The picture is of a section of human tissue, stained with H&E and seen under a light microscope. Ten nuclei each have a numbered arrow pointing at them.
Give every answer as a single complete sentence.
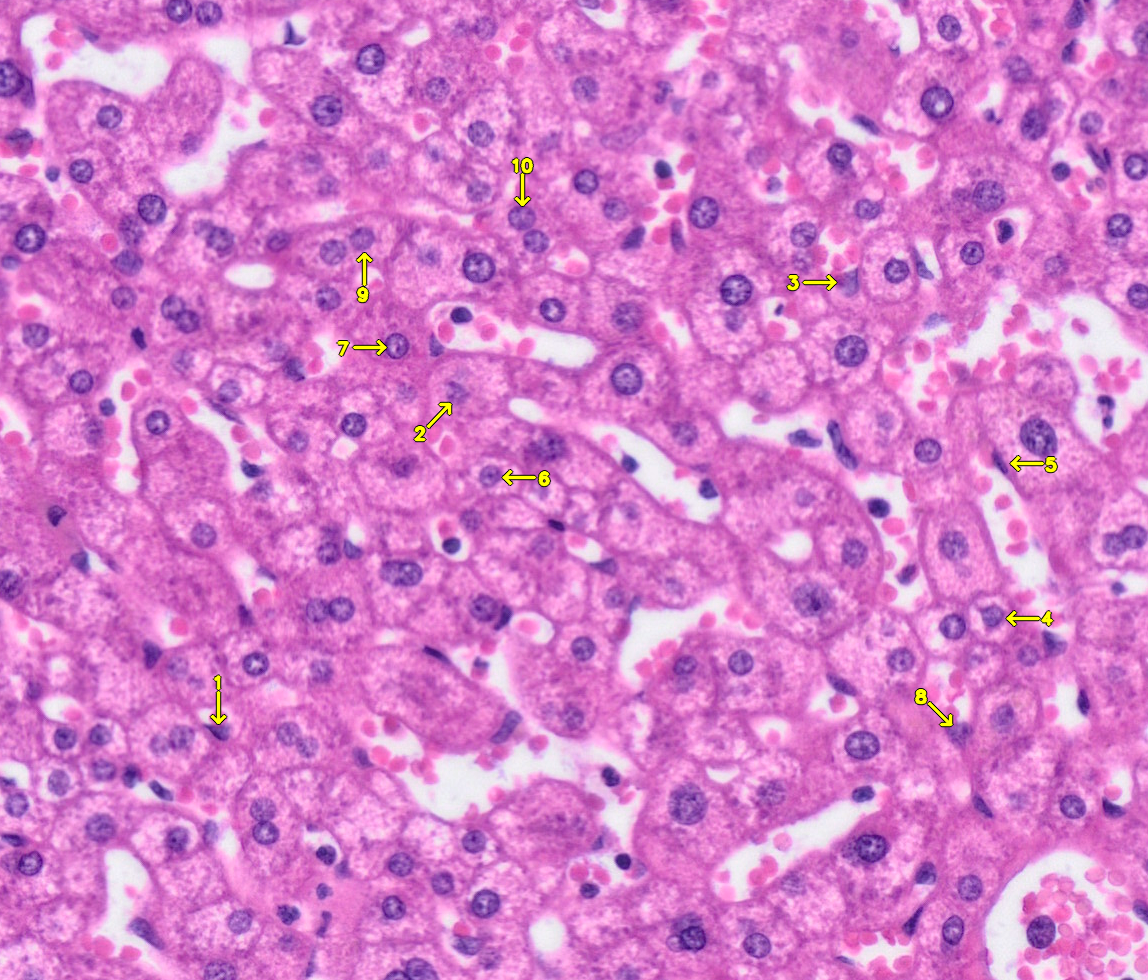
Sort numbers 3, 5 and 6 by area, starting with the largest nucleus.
Largest first, the order by area is 3, 6, 5.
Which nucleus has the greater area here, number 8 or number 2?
Nucleus 8 covers more area, about 1.5 times as much as nucleus 2.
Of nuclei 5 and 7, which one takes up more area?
Nucleus 7 covers more area, about 2 times as much as nucleus 5.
